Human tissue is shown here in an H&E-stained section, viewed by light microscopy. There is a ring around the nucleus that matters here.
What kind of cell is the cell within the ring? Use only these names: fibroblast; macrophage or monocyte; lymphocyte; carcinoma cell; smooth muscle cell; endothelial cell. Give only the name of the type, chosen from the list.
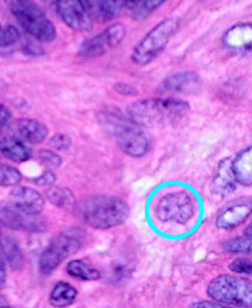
fibroblast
